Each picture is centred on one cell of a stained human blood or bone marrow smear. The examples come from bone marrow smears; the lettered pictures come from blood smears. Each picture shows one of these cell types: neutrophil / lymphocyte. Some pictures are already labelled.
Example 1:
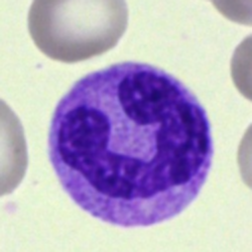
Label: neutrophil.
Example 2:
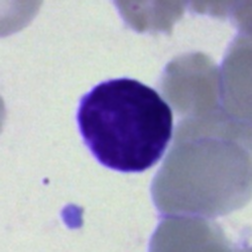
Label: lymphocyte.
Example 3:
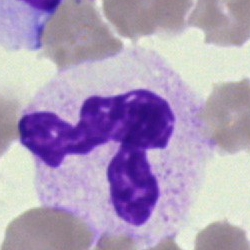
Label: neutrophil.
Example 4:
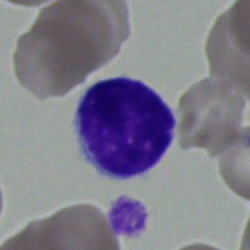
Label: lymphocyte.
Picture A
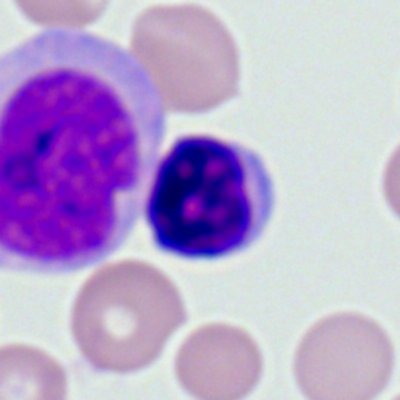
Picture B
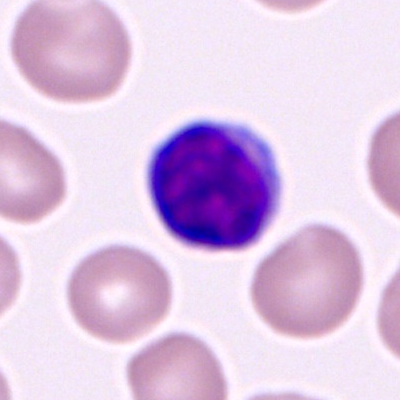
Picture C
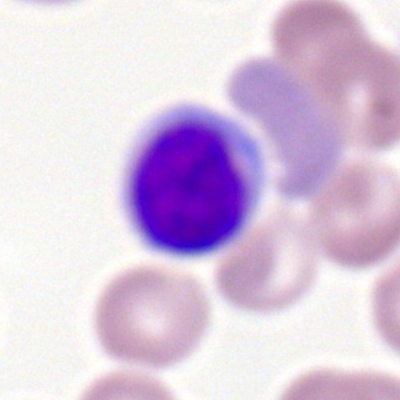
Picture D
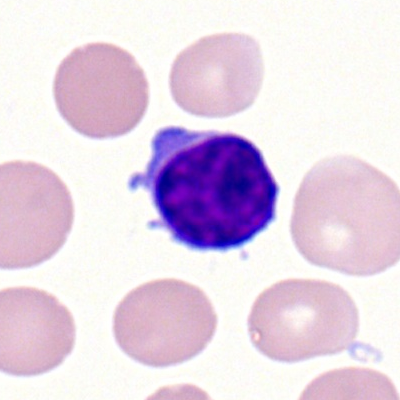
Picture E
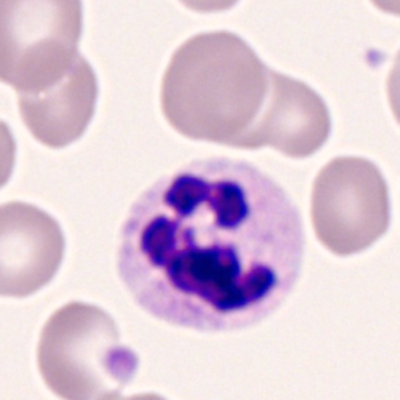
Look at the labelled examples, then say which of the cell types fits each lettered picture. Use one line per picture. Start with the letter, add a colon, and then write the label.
A: lymphocyte.
B: lymphocyte.
C: lymphocyte.
D: lymphocyte.
E: neutrophil.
